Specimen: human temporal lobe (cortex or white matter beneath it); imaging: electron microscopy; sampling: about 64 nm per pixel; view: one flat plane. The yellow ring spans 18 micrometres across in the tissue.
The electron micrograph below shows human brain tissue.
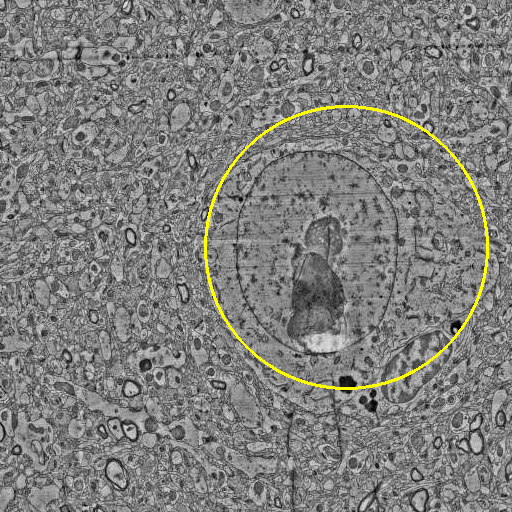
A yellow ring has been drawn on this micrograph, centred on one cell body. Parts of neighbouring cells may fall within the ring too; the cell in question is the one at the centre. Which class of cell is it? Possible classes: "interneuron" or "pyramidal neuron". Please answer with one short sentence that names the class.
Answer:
In the centre of the ring sits a pyramidal neuron.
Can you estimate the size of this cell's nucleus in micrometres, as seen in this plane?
In this plane the nucleus measures roughly 14 by 11 micrometres.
